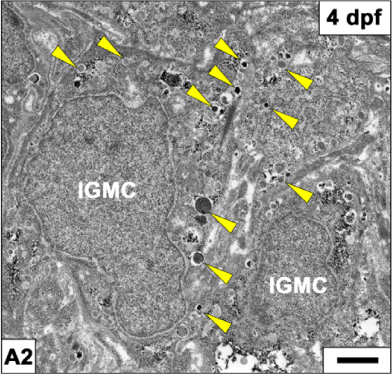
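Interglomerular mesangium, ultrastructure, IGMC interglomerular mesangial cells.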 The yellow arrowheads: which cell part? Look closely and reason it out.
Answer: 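Small round membrane-bound bodies in the cytoplasm between nuclei. The bodies range from nearly black to pale grey.
Granules.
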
